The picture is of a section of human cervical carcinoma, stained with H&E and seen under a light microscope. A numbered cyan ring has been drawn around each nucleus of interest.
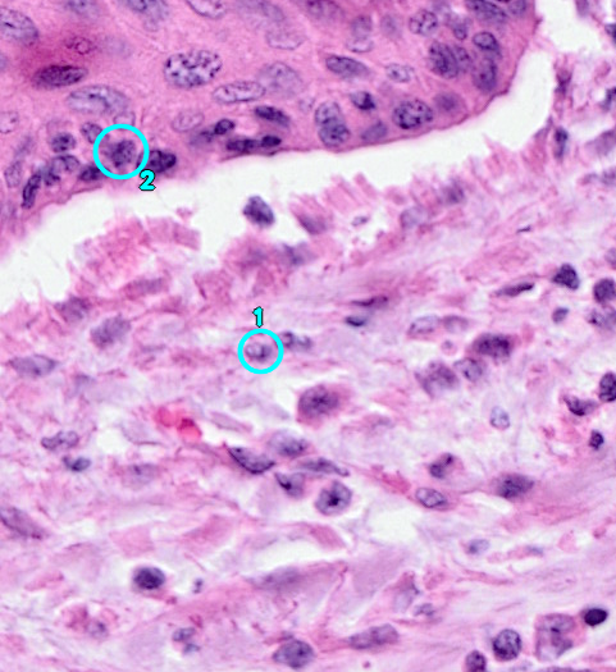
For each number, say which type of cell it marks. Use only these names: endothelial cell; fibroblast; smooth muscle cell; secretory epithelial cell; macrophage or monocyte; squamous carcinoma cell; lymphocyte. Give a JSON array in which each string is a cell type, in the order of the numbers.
["fibroblast", "squamous carcinoma cell"]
